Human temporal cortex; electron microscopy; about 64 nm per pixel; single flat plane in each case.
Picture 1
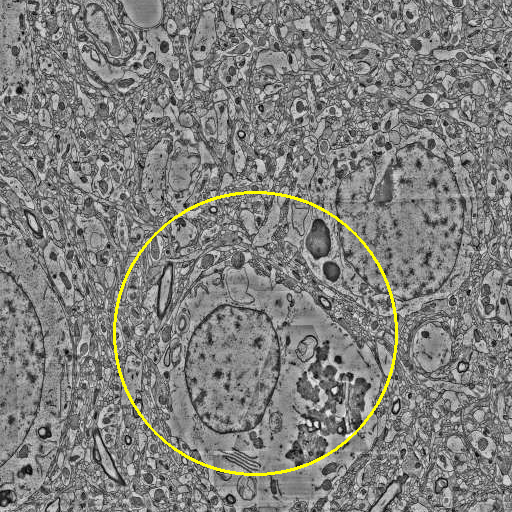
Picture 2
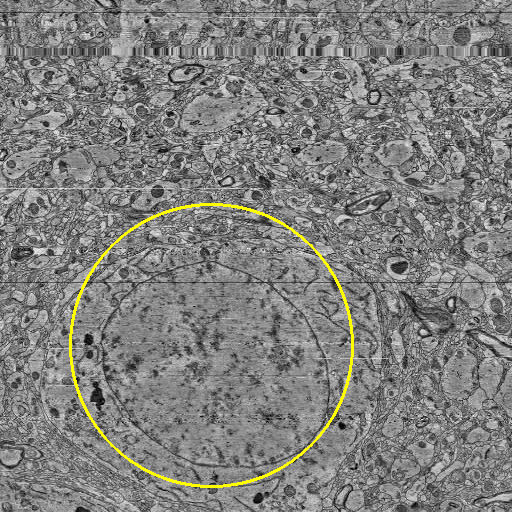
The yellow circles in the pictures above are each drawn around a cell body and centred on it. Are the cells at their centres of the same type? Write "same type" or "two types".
two types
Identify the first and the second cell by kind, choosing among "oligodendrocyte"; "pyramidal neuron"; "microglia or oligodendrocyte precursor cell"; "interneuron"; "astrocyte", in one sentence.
The one in the first picture is an astrocyte, while the one in the second is a pyramidal neuron.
